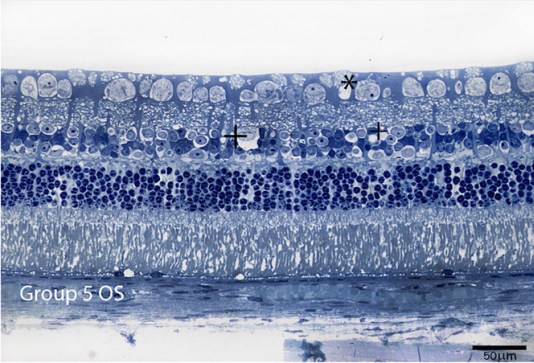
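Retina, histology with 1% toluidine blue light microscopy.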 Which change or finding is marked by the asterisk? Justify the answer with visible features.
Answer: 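Focal areas of vacuolization. The asterisk lies in the innermost row of large rounded profiles. Many of these profiles are pale and contain clear spaces.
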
